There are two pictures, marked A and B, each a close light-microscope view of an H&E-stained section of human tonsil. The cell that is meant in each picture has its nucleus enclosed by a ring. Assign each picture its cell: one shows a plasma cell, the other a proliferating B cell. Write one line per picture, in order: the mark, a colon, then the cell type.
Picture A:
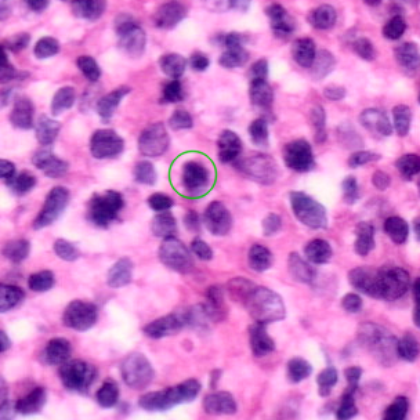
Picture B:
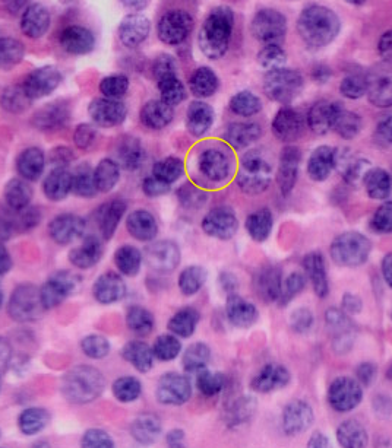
A: proliferating B cell
B: plasma cell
